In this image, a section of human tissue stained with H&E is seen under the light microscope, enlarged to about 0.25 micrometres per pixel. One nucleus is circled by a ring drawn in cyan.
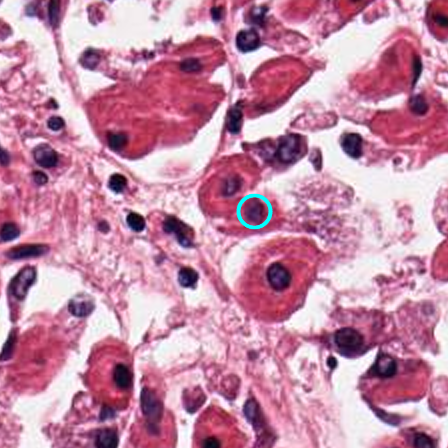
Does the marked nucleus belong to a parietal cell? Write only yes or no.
yes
